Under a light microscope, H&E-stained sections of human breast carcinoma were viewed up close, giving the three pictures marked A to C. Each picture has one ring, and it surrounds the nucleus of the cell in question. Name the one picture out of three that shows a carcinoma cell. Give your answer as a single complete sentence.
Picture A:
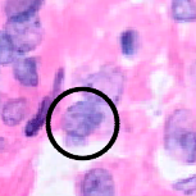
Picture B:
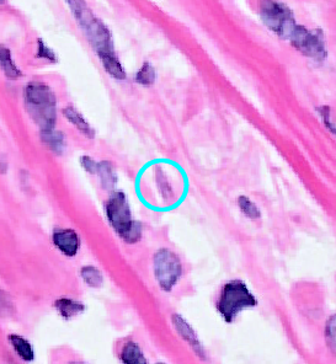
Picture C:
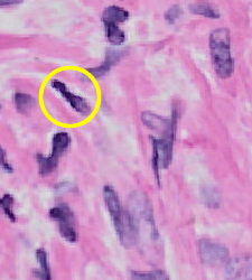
Picture A shows the carcinoma cell.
